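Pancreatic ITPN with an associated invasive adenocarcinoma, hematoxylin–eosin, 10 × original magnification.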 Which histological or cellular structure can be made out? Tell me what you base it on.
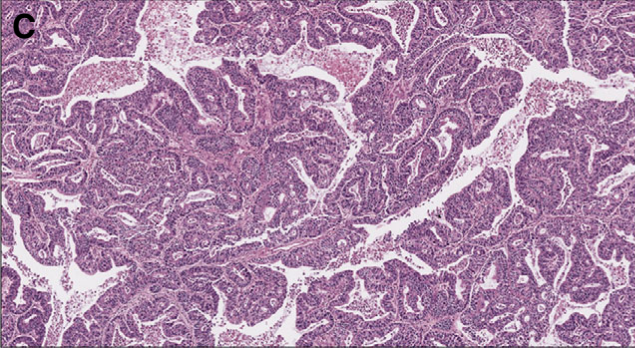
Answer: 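Branching epithelial fronds project into open spaces. Fronds are lined by crowded, dark-nucleated columnar cells. The answer: papillary.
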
